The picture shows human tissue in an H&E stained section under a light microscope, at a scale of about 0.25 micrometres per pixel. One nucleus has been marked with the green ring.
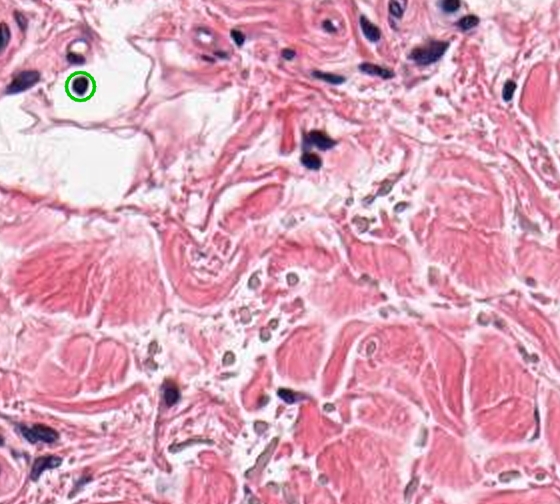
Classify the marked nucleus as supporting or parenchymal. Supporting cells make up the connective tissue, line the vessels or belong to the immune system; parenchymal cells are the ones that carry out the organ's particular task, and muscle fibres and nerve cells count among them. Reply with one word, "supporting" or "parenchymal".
supporting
